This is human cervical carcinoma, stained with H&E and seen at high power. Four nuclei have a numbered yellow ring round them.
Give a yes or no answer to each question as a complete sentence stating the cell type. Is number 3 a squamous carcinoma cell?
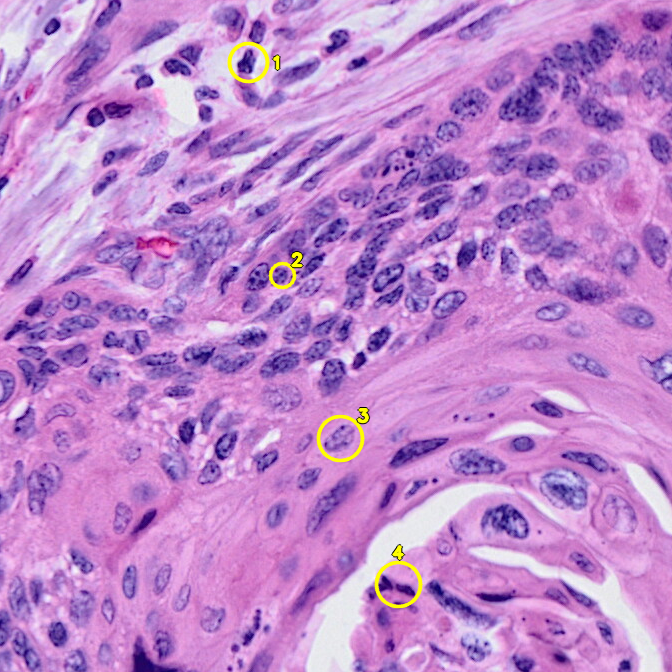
Yes, the cell at number 3 is a squamous carcinoma cell.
